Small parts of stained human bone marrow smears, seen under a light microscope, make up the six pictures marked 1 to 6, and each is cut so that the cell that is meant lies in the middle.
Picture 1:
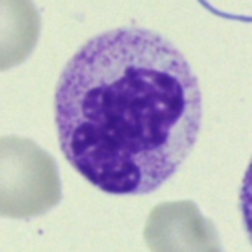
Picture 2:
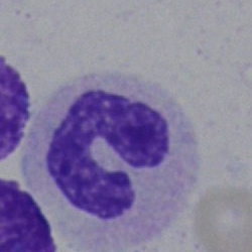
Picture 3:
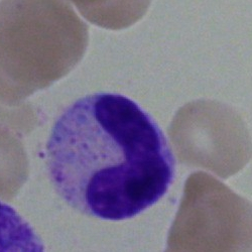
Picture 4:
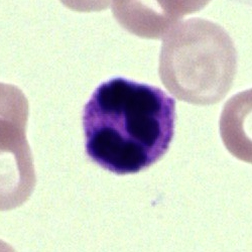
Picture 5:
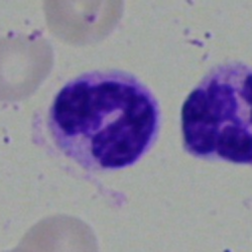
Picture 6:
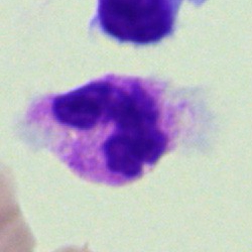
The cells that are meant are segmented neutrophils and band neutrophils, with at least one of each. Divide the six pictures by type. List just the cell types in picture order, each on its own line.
segmented neutrophil
band neutrophil
band neutrophil
segmented neutrophil
segmented neutrophil
segmented neutrophil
